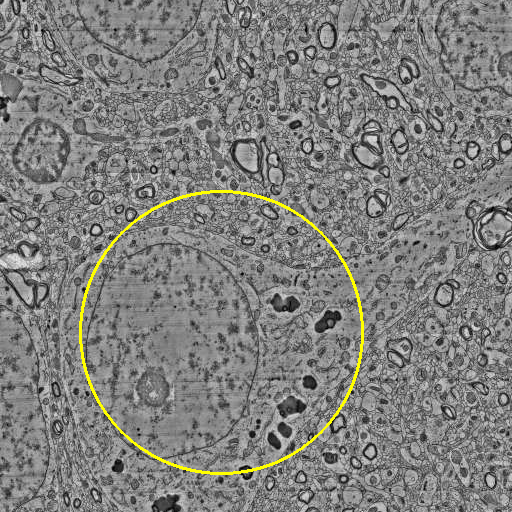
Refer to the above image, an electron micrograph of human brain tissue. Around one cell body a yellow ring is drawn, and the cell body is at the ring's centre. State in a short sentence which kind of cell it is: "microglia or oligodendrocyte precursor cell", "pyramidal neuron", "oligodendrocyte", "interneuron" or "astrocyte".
The centre of the ring falls on a pyramidal neuron.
